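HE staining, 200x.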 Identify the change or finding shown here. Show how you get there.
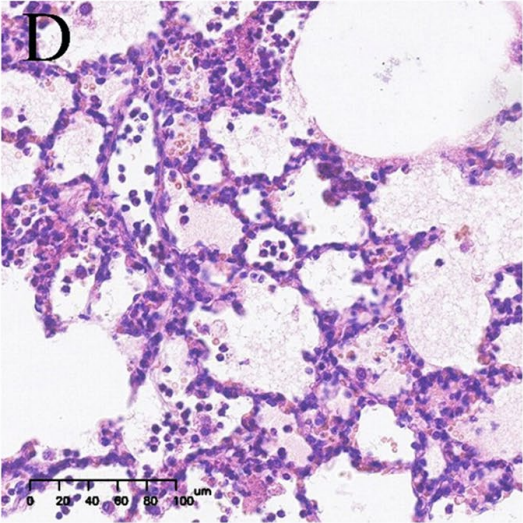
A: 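Many air spaces are filled with pale pink, finely granular material. On this evidence: exudation of proteinaceous edema fluid.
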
